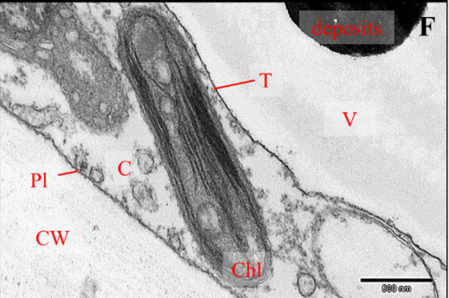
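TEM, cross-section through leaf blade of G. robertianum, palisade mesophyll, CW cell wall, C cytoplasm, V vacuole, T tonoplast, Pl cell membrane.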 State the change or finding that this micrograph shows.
Flattened chloroplast.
